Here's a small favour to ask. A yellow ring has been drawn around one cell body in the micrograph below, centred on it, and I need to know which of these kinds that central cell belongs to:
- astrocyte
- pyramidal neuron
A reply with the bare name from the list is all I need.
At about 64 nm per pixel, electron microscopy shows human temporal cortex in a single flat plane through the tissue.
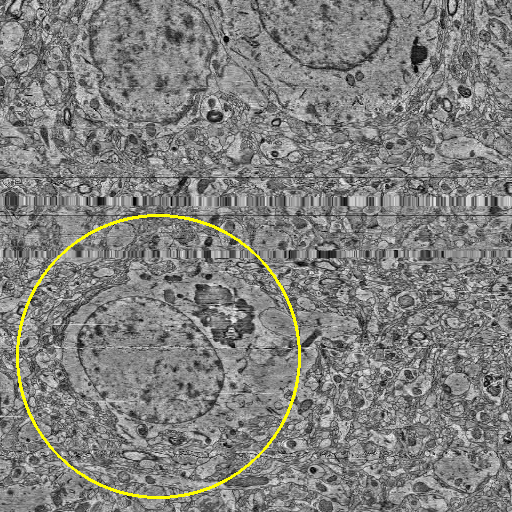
astrocyte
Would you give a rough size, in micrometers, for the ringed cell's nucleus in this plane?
In this plane the nucleus measures roughly 10 by 8 micrometres.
